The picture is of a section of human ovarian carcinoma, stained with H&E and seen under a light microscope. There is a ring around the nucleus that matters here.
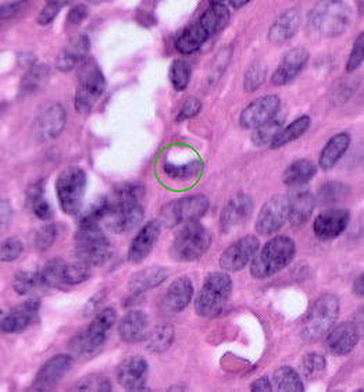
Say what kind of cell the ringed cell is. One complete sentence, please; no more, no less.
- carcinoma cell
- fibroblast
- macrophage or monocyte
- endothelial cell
The classification of the ringed cell is as an endothelial cell.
